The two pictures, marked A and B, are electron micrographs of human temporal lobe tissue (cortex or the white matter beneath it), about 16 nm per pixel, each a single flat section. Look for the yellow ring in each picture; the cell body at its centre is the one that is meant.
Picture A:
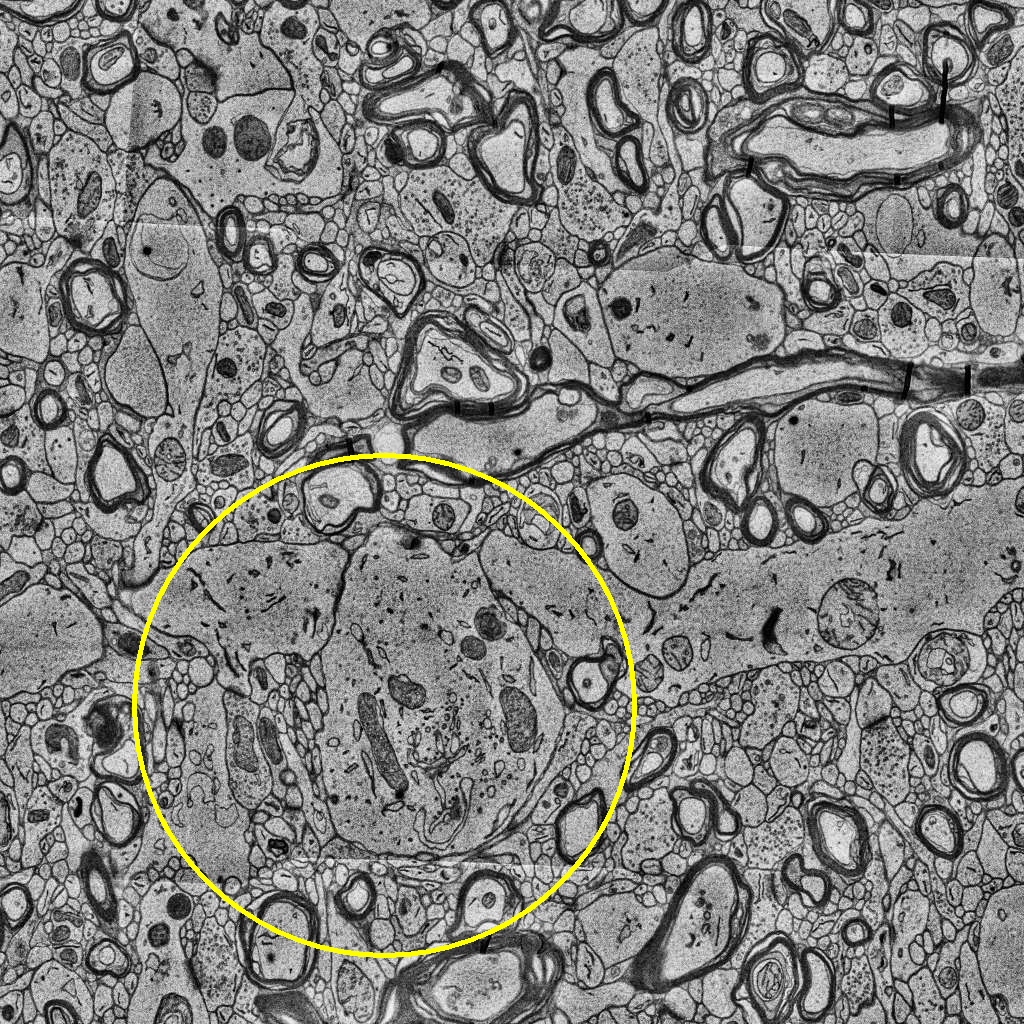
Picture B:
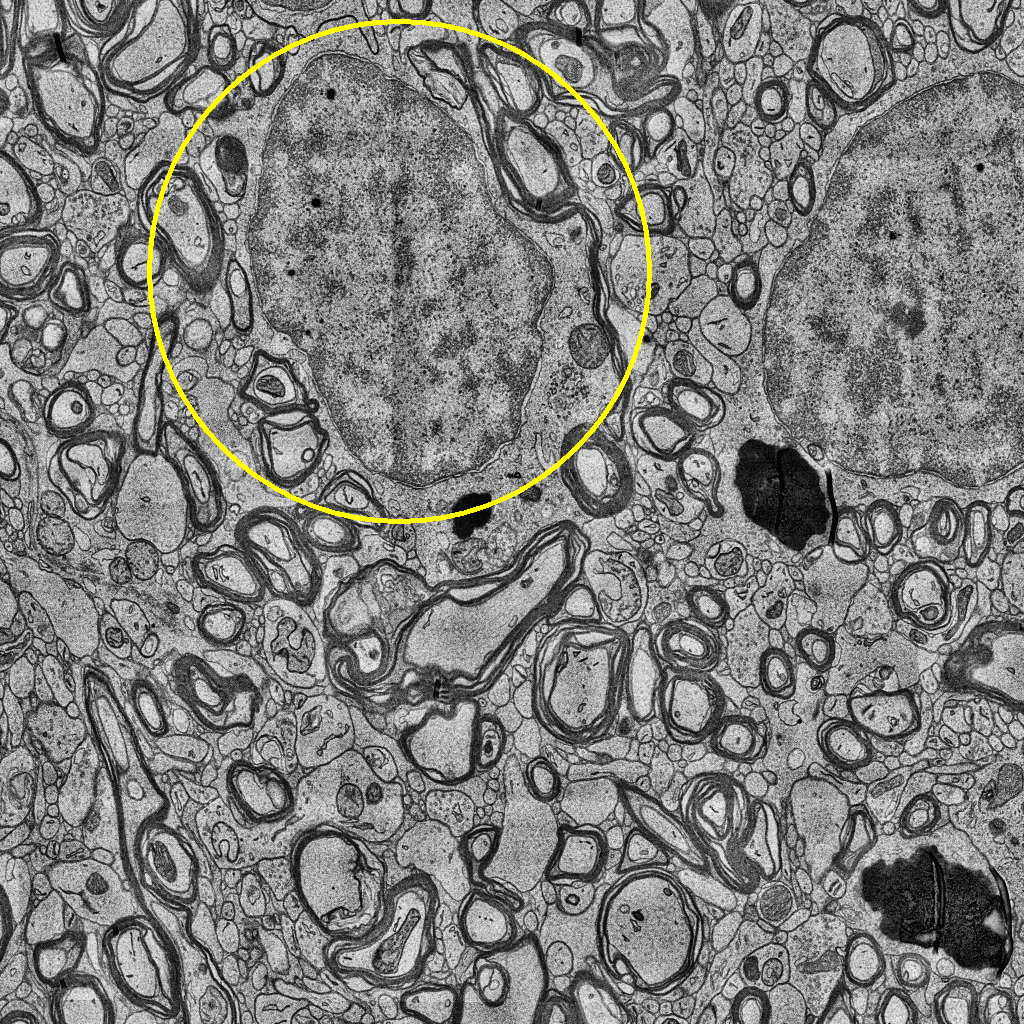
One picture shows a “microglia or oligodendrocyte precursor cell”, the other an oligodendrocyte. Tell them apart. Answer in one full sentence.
In picture A the cell is a “microglia or oligodendrocyte precursor cell”; in picture B, an oligodendrocyte.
